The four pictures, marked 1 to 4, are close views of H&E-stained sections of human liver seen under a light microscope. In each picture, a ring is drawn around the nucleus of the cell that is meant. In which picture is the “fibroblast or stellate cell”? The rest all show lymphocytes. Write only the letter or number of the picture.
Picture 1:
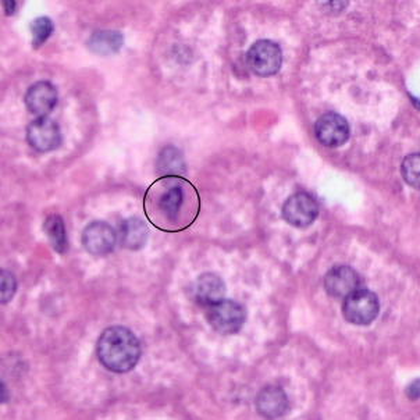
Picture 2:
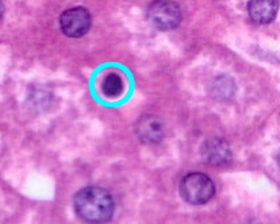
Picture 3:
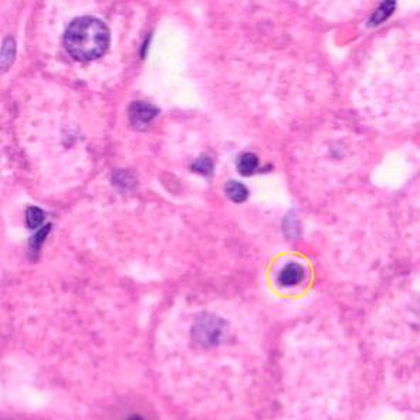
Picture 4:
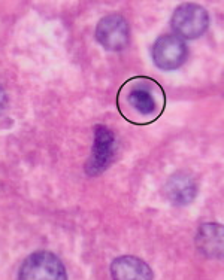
1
